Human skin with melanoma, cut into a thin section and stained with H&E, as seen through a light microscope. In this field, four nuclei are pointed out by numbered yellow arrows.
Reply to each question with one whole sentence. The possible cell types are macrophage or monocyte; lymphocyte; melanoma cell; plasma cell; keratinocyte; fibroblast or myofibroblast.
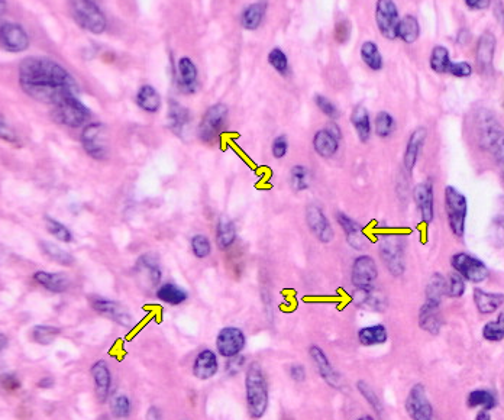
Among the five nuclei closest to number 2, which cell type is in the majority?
Most of the five nuclei nearest to number 2 are those of lymphocytes.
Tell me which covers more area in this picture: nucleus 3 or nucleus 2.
Nucleus 2 is larger, with an area about 1.5 times that of nucleus 3.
